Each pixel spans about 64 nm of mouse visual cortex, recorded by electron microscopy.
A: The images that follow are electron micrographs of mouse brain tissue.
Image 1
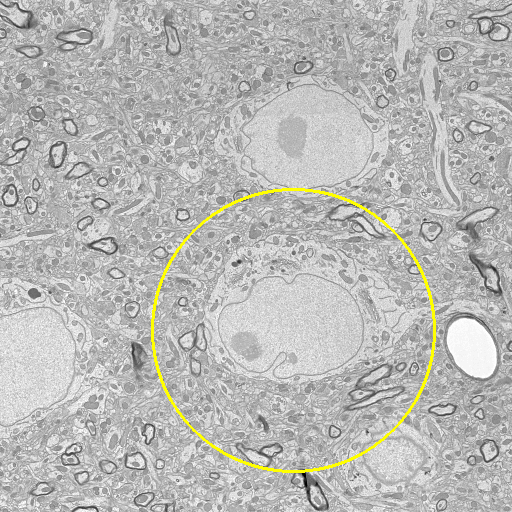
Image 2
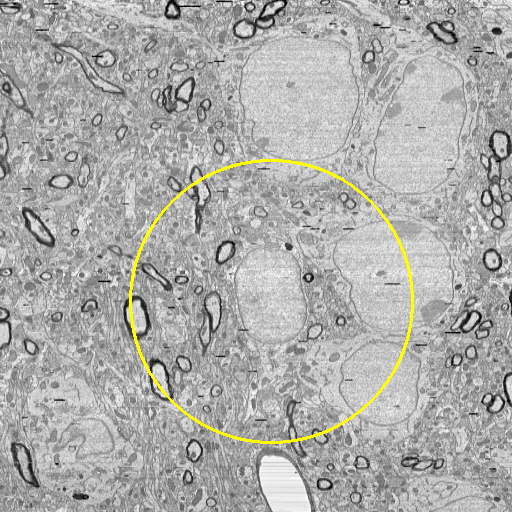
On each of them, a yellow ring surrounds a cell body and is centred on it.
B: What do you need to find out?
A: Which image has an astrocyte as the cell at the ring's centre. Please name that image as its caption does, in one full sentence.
Image 2 is the one whose ring has the sought cell at its centre.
